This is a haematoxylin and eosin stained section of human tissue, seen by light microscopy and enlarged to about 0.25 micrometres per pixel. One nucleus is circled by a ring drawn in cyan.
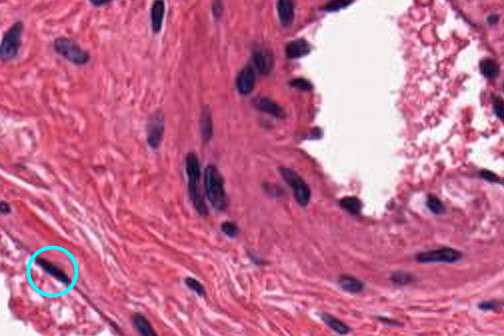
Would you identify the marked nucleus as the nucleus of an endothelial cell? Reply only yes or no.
yes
